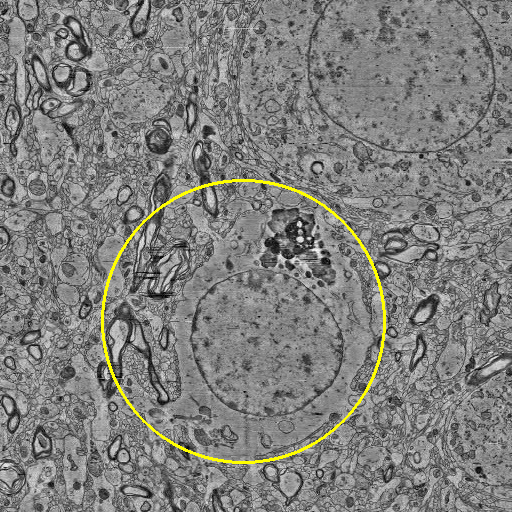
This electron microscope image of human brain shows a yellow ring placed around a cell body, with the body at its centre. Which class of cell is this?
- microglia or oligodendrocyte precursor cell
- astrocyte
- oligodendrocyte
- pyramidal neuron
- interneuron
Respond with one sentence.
The cell body at the ring's centre is an astrocyte.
